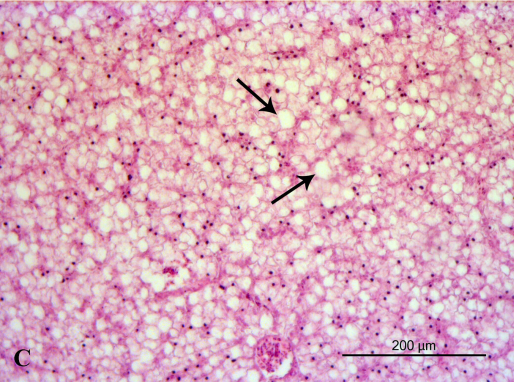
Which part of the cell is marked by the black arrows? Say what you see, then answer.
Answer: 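The arrows point to large round clear vacuoles in the tissue. The vacuoles are unstained and sit among pink cell borders. That points to this answer: lipid droplets.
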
